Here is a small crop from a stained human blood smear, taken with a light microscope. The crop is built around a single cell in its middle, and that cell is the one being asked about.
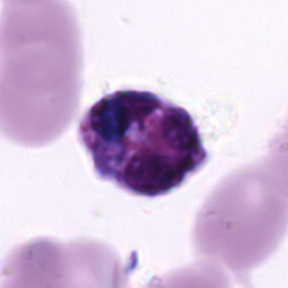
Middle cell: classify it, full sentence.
The cell the crop is centered on is an eosinophil.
